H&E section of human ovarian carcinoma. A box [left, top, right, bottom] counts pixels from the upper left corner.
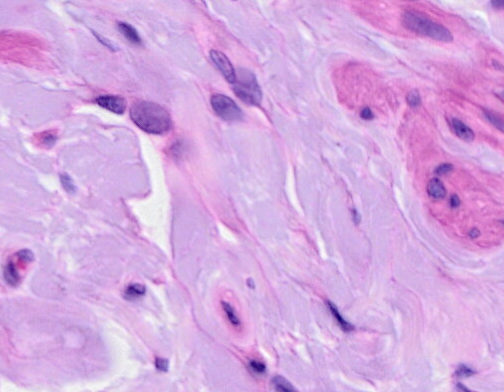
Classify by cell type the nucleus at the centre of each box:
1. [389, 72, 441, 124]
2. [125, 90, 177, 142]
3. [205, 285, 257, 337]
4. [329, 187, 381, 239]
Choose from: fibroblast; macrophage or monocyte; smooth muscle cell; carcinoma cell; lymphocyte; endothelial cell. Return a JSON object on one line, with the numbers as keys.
{"1": "smooth muscle cell", "2": "endothelial cell", "3": "endothelial cell", "4": "fibroblast"}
